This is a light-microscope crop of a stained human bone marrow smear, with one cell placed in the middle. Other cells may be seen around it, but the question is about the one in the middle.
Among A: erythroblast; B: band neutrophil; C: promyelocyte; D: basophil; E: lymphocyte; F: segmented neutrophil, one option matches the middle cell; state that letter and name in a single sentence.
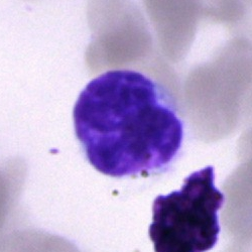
The correct response is option E, naming the cell in the middle as a lymphocyte.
